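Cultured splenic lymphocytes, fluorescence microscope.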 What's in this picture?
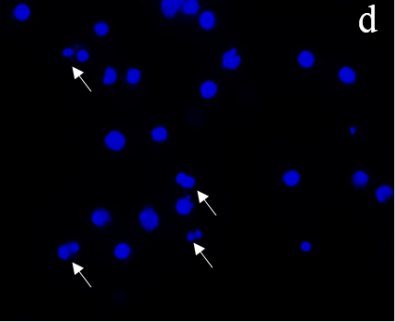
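Most nuclei are small, round and uniformly bright. Several, pointed out by arrows, look split into small fragments, as in apoptosis.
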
